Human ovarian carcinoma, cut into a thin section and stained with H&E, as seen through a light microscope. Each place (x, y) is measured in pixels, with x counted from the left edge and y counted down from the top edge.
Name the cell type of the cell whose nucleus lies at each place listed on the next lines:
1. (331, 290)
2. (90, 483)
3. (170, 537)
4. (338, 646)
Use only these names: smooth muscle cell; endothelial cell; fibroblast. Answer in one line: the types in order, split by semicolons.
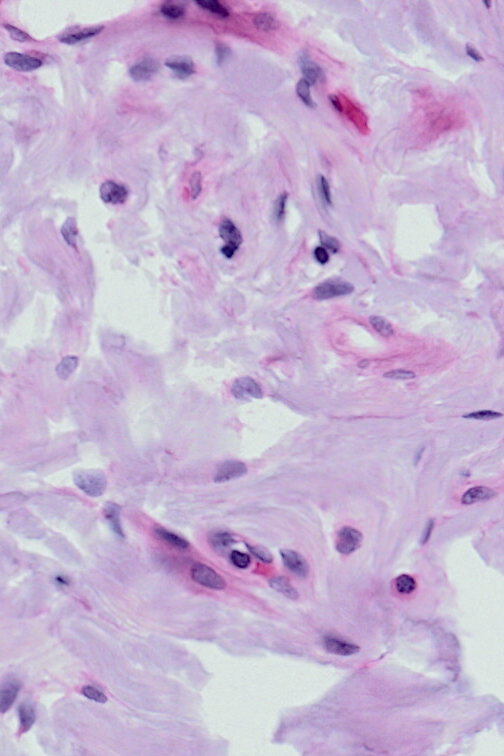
fibroblast; fibroblast; smooth muscle cell; fibroblast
